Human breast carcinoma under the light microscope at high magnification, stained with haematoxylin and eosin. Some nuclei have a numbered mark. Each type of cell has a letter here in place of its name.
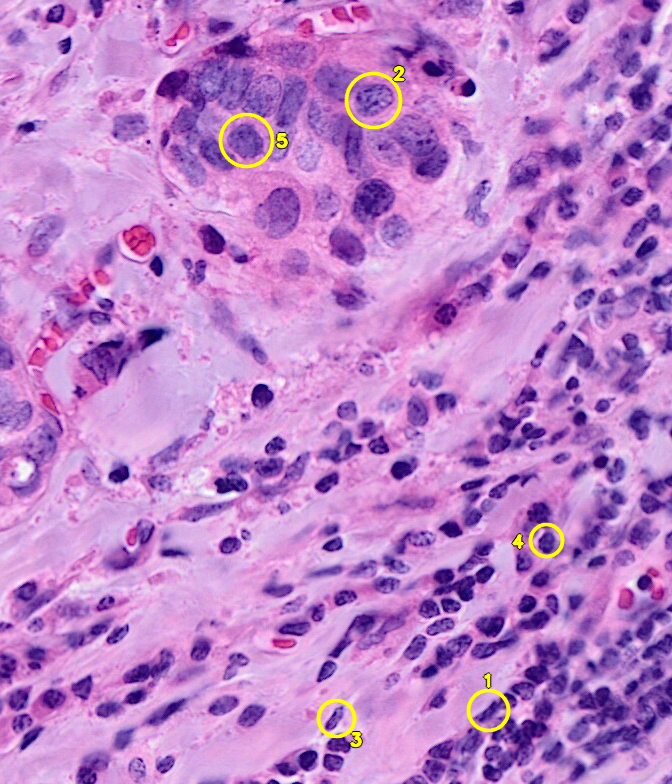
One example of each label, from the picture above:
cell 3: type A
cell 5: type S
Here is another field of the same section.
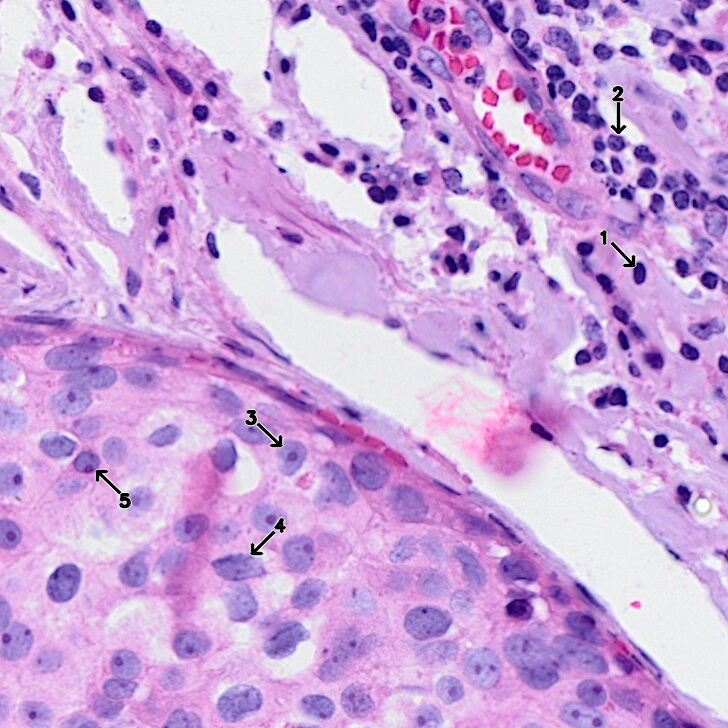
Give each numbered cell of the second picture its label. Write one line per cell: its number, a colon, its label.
1: type A
2: type A
3: type S
4: type S
5: type S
